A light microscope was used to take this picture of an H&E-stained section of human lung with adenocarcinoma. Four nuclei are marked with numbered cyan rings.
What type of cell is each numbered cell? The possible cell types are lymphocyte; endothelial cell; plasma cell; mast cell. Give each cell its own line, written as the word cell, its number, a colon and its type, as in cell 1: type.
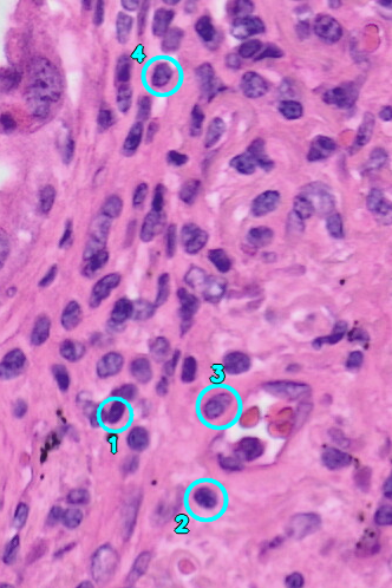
cell 1: lymphocyte
cell 2: lymphocyte
cell 3: mast cell
cell 4: lymphocyte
